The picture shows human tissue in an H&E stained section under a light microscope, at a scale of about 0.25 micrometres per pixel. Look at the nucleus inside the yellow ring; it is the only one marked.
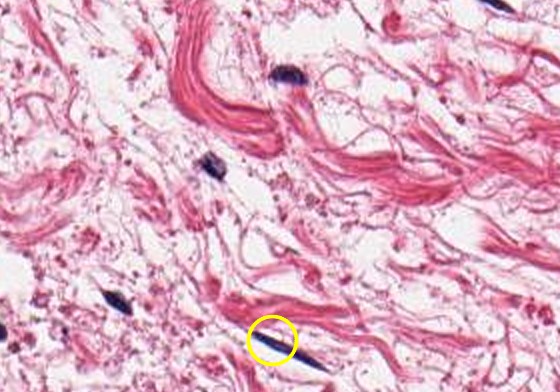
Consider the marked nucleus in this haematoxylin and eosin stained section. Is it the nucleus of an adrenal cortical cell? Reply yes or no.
no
